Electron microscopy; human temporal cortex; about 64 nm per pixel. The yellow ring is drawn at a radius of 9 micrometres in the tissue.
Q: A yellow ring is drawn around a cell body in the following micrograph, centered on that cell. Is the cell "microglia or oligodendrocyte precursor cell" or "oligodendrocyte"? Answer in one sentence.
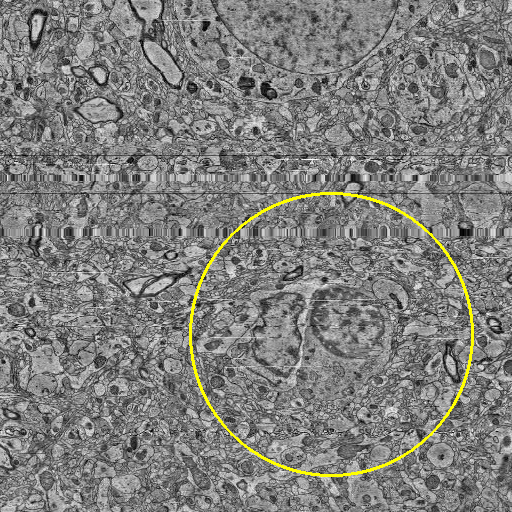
The cell in the center of the ring is an oligodendrocyte.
